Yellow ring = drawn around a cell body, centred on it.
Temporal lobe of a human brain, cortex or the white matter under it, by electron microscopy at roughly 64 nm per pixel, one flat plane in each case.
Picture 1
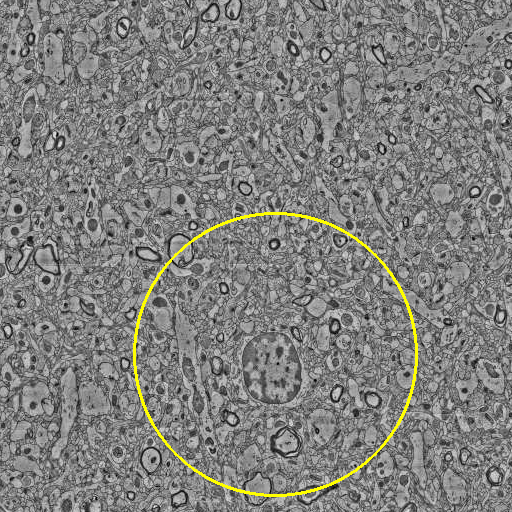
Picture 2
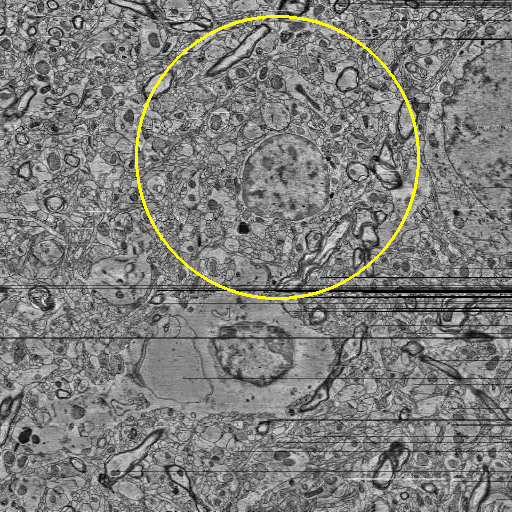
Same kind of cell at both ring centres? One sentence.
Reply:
Yes, they are the same kind of cell.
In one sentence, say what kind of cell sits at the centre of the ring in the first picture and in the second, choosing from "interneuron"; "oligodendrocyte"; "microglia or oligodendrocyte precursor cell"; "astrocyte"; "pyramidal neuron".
The second cell is a microglial cell or oligodendrocyte precursor cell, just as the first is.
